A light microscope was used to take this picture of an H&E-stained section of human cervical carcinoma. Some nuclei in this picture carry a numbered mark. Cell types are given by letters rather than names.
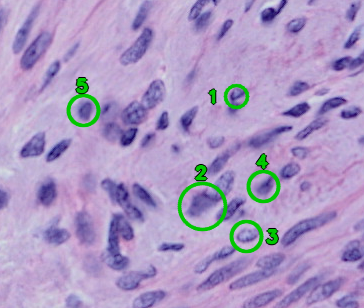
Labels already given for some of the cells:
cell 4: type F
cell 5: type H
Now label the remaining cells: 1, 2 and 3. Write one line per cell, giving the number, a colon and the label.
1: type F
2: type H
3: type F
